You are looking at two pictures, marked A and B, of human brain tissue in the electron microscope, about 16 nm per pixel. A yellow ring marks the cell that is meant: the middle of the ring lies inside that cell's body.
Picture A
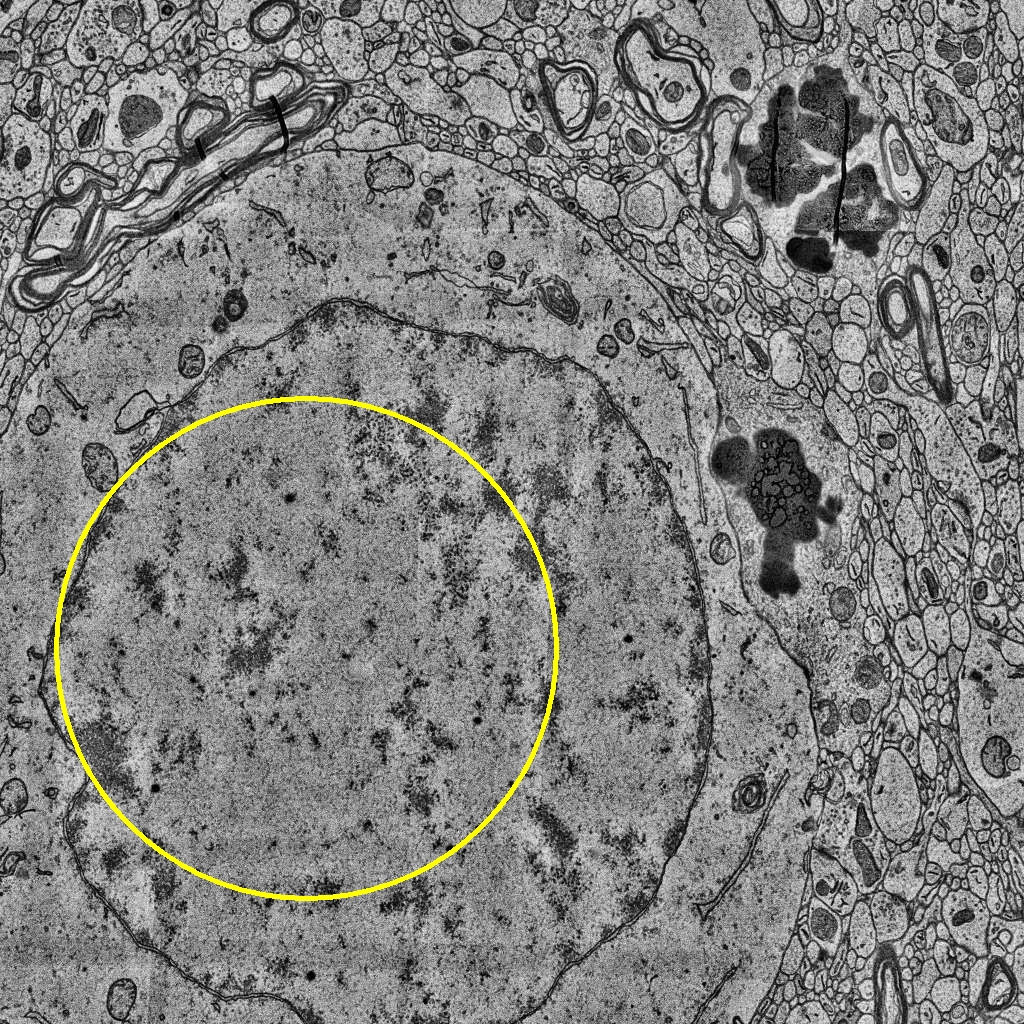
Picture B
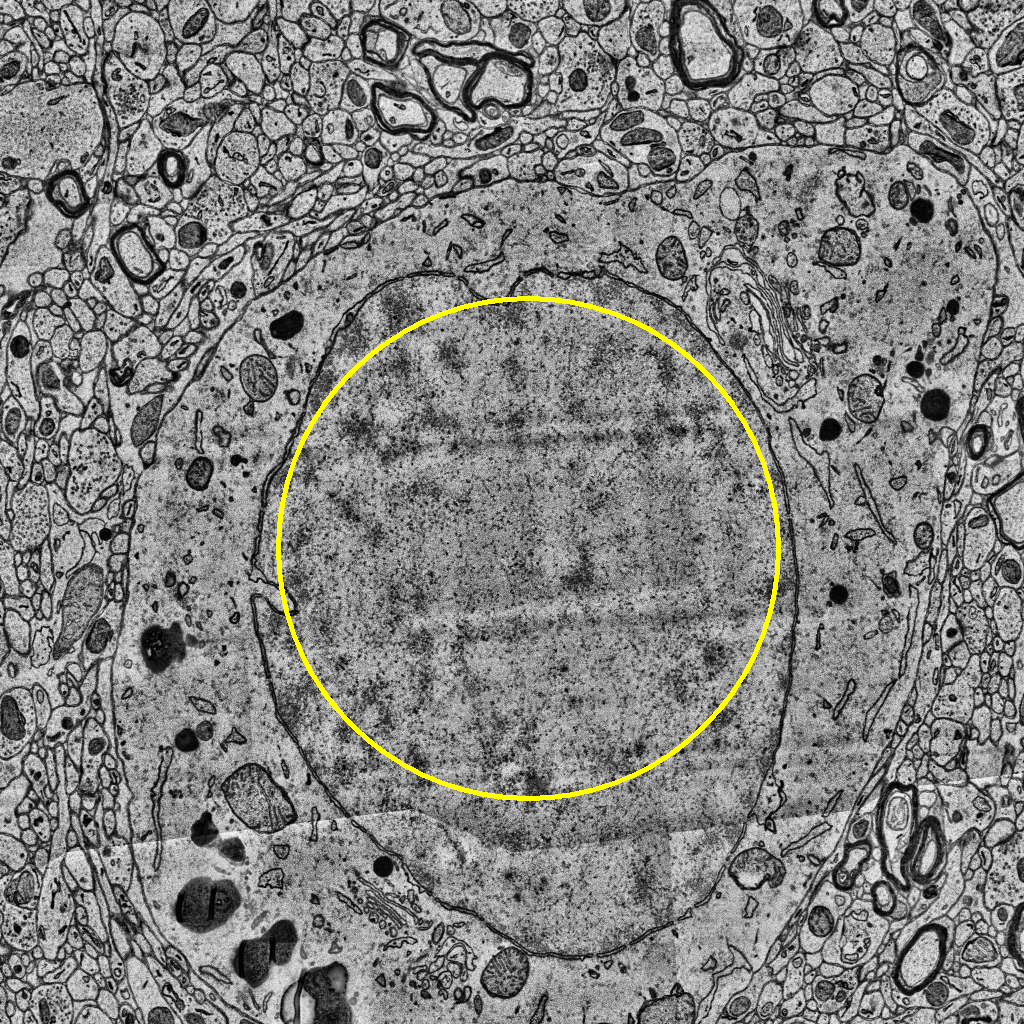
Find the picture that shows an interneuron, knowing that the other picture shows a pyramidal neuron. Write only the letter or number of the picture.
A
